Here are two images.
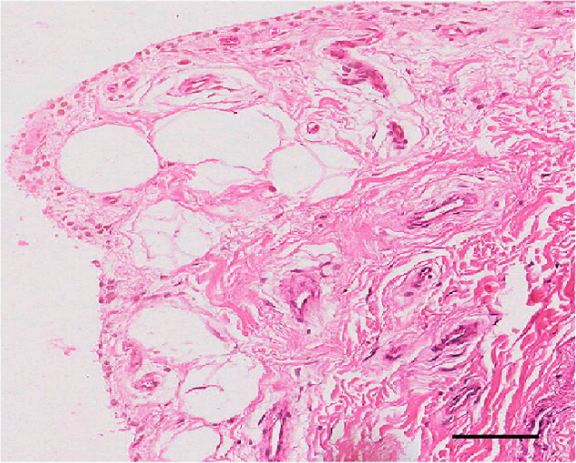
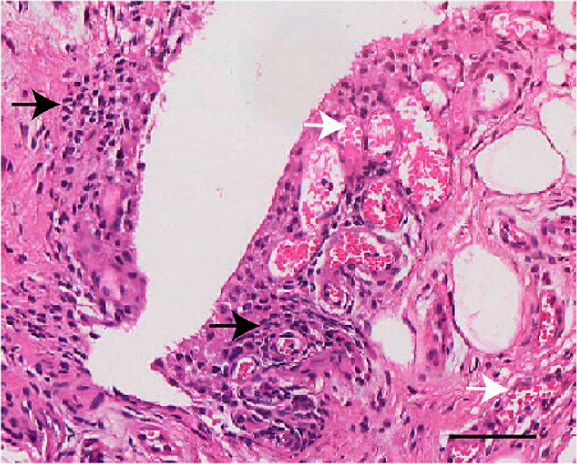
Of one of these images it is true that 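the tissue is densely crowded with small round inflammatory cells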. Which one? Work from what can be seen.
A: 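Second image: dense sheets of small dark round nuclei at and under the surface. First image: sparse nuclei scattered in loose pink stroma with clear empty spaces.
The second image.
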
